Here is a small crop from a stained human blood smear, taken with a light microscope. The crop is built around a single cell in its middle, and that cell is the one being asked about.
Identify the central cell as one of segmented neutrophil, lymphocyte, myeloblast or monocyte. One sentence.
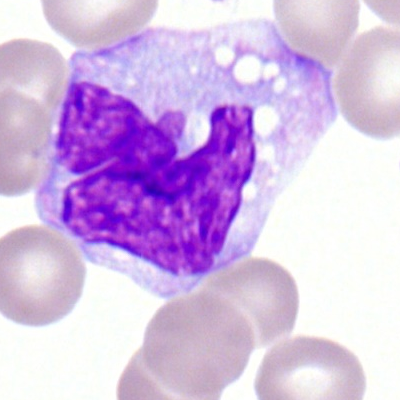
Framed in the middle of the crop is a monocyte.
